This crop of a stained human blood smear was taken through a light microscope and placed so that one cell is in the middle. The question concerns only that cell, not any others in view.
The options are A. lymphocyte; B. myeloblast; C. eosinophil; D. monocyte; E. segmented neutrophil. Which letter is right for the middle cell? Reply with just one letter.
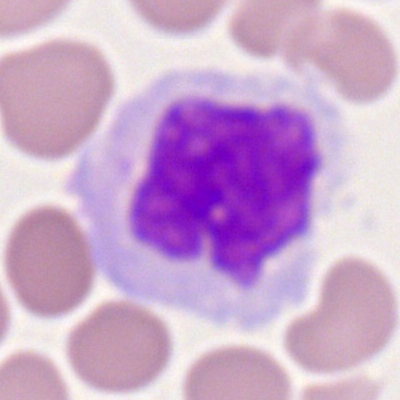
D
